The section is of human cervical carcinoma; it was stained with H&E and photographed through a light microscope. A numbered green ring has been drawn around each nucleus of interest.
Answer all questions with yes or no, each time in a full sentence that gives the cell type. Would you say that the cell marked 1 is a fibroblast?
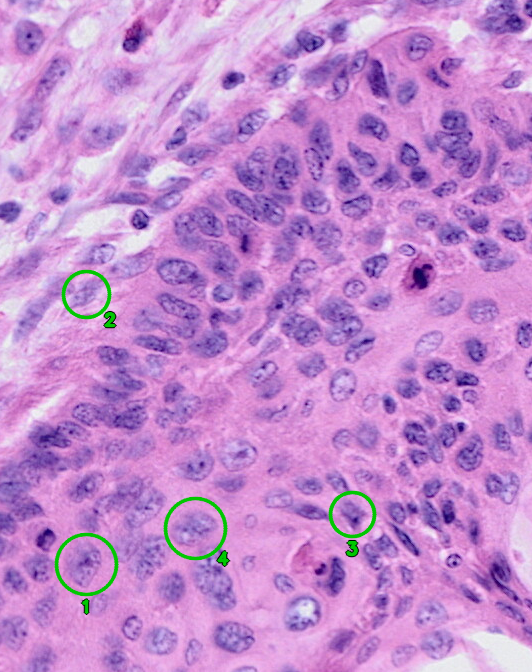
No, calling cell 1 a fibroblast is a mistake; it is a squamous carcinoma cell.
